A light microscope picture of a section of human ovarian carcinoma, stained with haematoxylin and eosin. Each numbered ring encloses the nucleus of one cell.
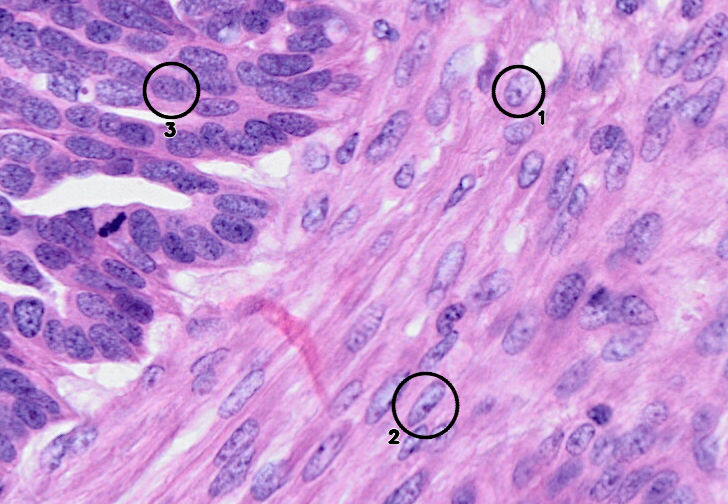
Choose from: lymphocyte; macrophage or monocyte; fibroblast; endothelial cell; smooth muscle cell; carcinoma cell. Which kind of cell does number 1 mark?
fibroblast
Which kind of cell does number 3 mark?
carcinoma cell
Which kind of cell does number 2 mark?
fibroblast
